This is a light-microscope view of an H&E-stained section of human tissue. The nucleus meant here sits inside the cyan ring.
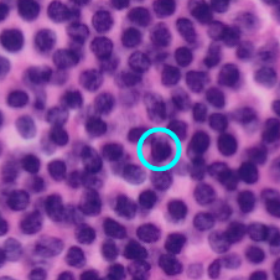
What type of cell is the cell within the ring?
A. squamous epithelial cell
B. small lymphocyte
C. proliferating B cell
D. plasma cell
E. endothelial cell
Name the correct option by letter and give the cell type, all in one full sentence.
Of the options offered, B is correct, as the cell within the ring is a small lymphocyte.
